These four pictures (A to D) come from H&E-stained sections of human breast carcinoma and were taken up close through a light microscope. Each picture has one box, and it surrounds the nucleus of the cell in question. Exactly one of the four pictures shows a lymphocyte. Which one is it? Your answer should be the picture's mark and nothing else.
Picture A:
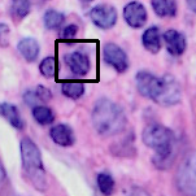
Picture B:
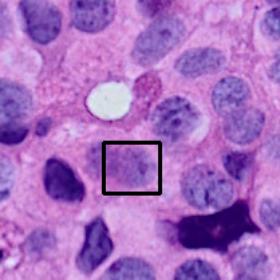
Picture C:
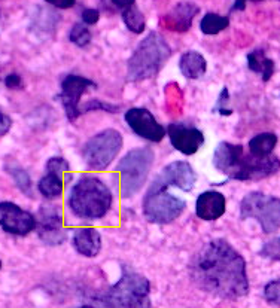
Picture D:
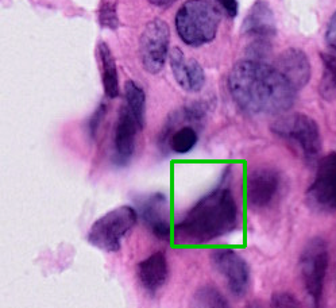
A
